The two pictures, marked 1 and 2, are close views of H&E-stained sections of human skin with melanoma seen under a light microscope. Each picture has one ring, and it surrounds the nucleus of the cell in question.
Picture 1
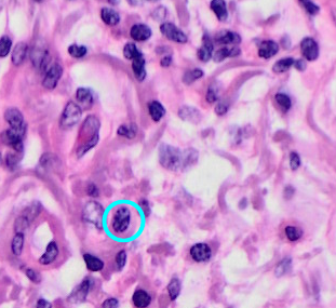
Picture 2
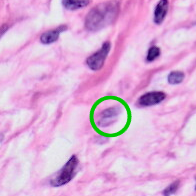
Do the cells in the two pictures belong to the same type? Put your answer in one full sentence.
No; the cell in picture 1 is a plasma cell, while the one in picture 2 is a “macrophage or monocyte”.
